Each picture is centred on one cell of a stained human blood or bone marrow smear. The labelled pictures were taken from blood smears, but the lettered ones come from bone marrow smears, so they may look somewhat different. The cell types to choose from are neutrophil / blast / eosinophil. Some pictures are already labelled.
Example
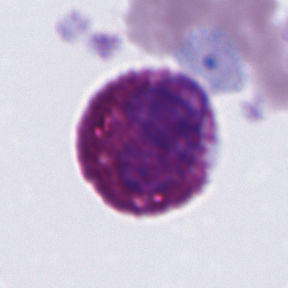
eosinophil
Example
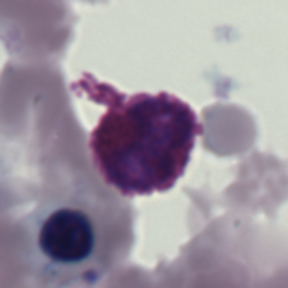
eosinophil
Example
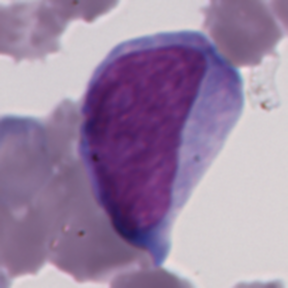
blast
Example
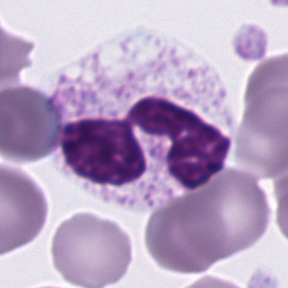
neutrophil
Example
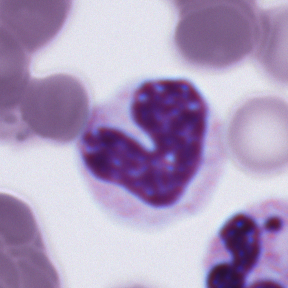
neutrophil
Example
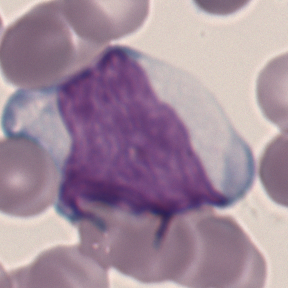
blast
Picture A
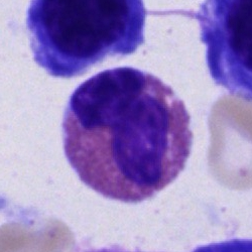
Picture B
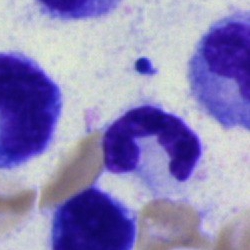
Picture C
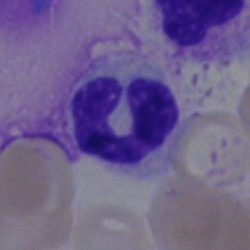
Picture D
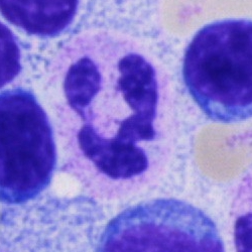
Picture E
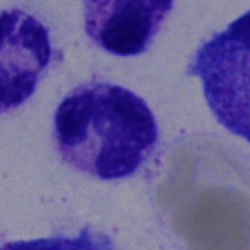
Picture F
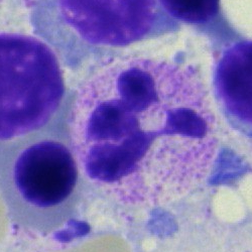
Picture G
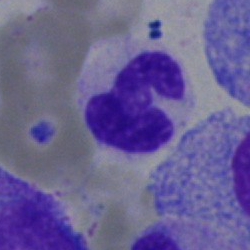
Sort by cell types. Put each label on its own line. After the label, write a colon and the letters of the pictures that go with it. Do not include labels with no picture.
neutrophil: B, C, D, E, F, G
eosinophil: A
